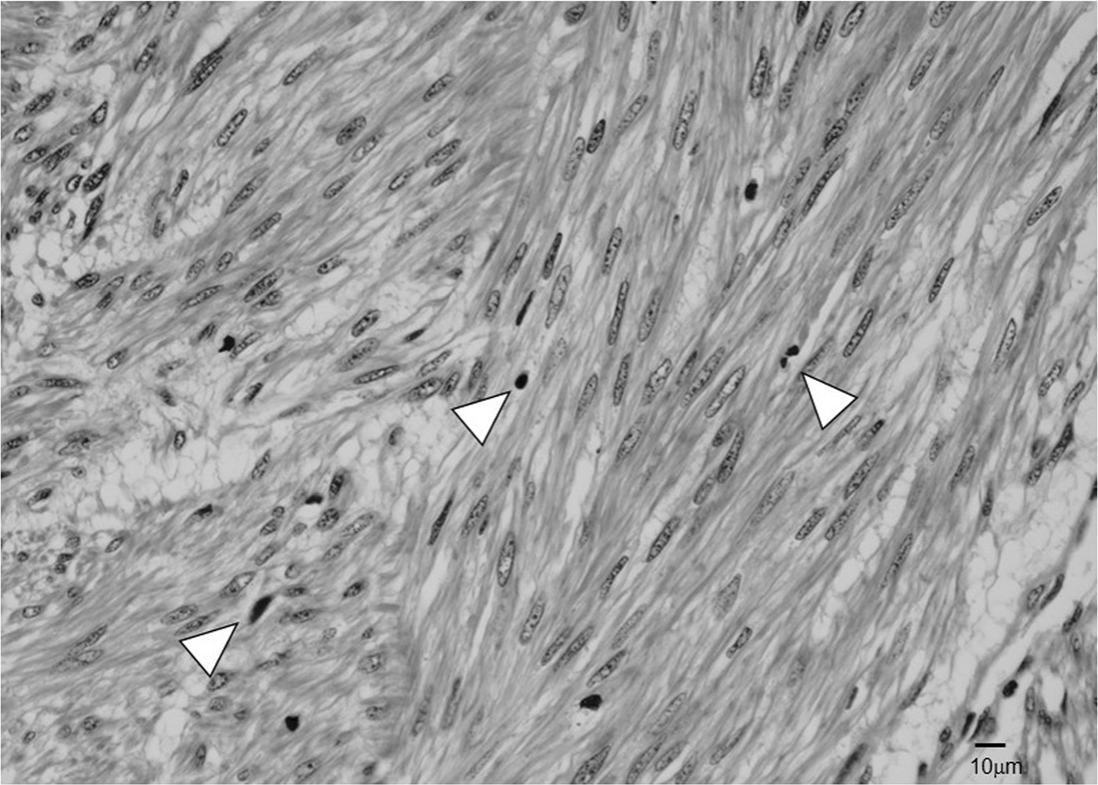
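Tumor composed of spindle cells arranged in bundles that run in different directions and meet at angles. The nuclei are elongated and cigar-shaped with blunt, rounded ends and finely granular chromatin. They lie within long fibrillar cytoplasm. Pale, clear, bubbly areas lie between some of the bundles, and a few small, dense, dark nuclear bodies are scattered among the cells.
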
